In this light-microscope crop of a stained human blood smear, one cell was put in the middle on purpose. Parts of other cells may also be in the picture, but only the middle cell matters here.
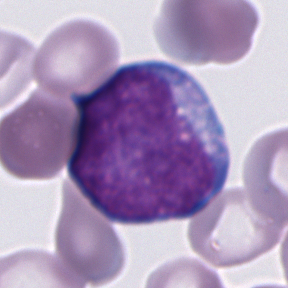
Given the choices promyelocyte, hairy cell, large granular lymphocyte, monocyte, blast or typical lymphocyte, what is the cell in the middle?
blast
